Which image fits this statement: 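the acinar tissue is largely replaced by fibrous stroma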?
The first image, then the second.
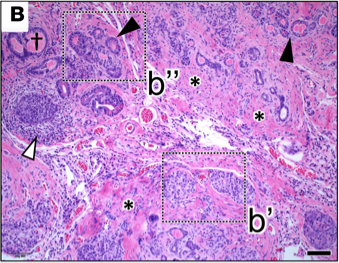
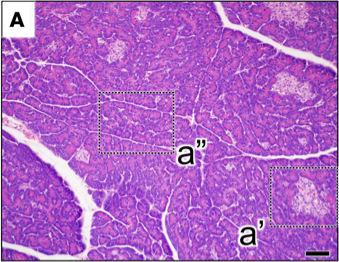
the first image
